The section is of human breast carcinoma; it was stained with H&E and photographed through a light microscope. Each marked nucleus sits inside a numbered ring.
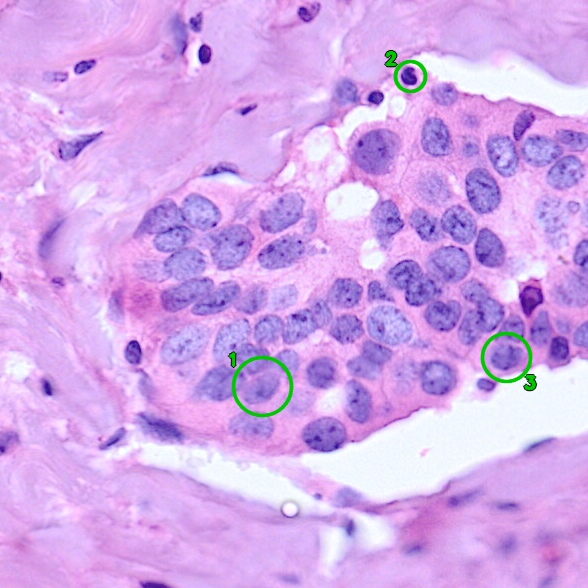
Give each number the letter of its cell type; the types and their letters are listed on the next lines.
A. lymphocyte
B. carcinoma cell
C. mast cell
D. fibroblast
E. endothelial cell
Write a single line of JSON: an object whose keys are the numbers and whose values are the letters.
{"1": "B", "2": "A", "3": "B"}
